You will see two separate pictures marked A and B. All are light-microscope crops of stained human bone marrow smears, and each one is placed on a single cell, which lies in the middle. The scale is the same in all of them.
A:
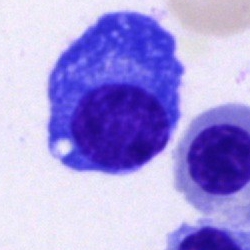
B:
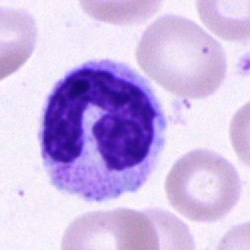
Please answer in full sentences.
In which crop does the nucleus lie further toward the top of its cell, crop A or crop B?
It is the nucleus in crop B that lies further toward the top of its cell.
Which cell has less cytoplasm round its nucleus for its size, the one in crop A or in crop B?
It is the cell in crop B that is filled more by its nucleus.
